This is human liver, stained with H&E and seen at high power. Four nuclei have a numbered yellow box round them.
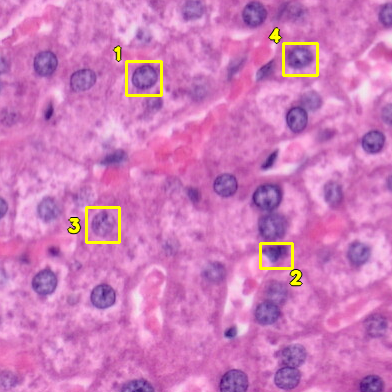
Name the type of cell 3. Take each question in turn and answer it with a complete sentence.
In this section, number 3 marks a hepatocyte.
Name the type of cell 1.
Regarding cell 1, this one is a hepatocyte.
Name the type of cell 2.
The nucleus marked 2 is the nucleus of a fibroblast or stellate cell.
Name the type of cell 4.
Classified as a hepatocyte is the cell with the number 4.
